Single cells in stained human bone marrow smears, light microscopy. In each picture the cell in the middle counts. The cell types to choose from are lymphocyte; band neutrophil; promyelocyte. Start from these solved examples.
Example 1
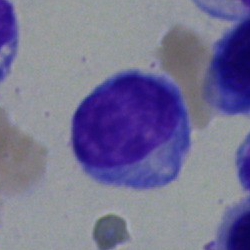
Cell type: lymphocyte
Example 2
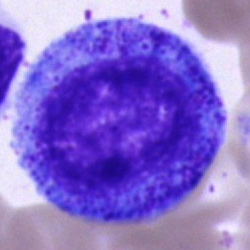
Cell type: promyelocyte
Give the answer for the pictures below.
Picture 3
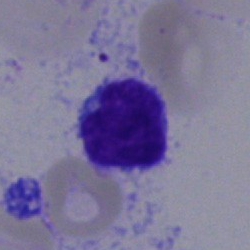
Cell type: lymphocyte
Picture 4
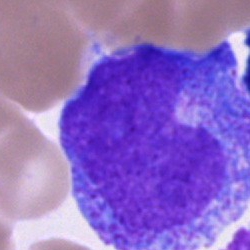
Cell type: promyelocyte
